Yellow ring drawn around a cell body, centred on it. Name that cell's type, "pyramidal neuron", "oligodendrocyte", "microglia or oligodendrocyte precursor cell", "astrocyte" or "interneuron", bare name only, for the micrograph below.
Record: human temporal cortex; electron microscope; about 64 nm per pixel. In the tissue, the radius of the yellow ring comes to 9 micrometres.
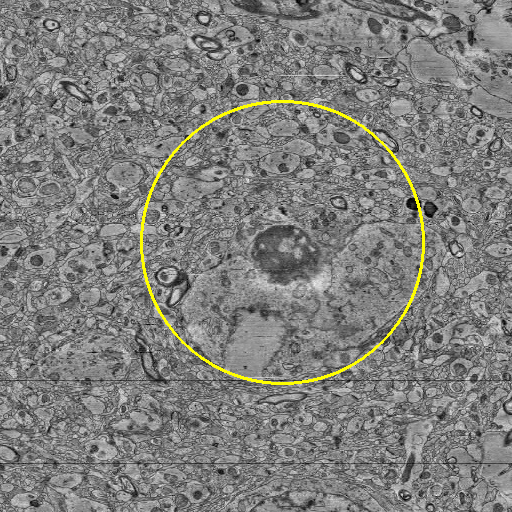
microglia or oligodendrocyte precursor cell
